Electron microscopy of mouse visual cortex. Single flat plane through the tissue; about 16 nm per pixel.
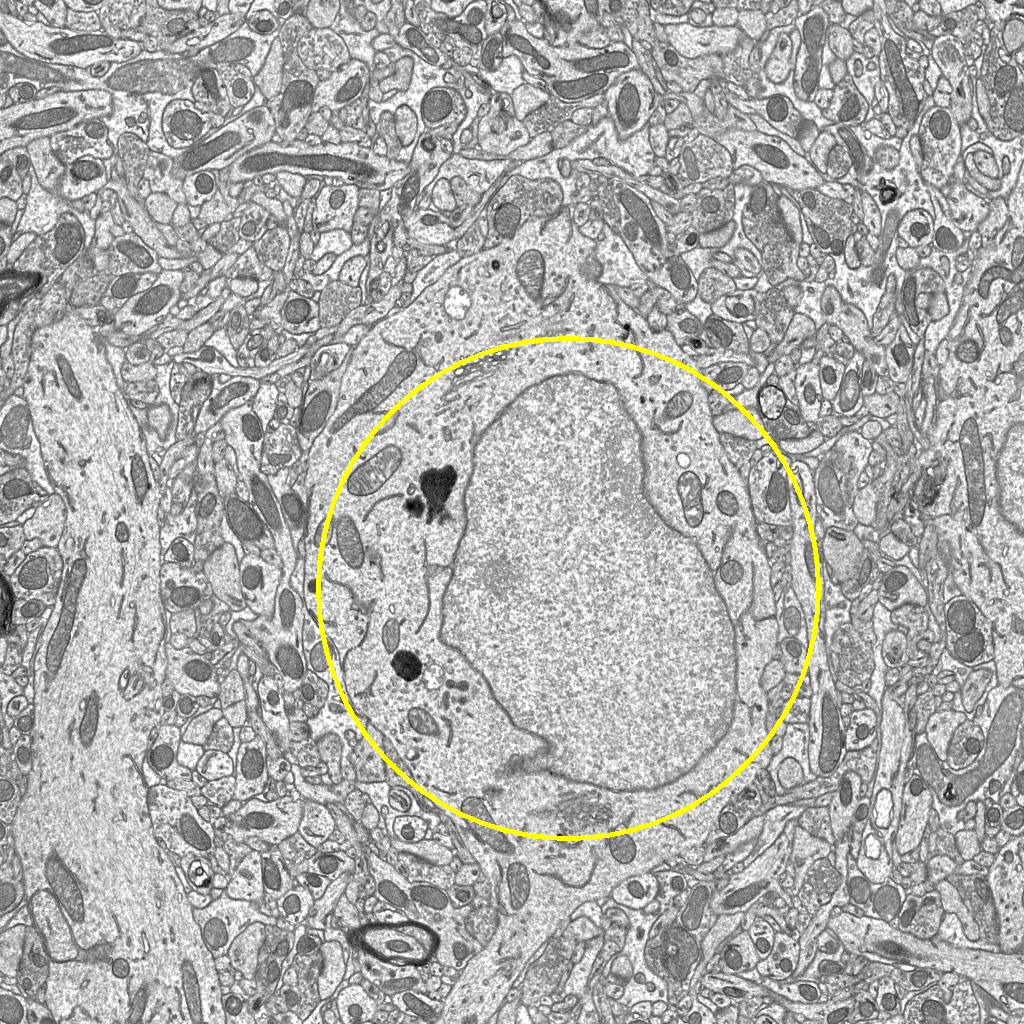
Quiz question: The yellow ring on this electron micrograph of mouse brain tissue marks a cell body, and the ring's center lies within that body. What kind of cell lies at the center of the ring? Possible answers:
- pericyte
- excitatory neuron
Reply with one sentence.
The ring's center lies on an excitatory neuron.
